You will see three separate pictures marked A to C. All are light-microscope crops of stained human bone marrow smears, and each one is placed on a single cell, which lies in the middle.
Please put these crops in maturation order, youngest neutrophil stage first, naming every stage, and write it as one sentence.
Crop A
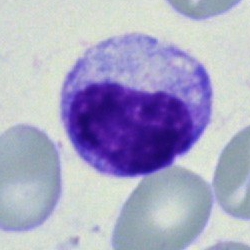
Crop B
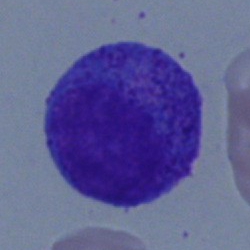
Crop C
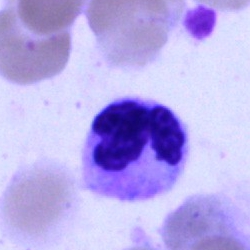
The order from least to most mature is crop B (a promyelocyte), crop A (a metamyelocyte) and crop C (a segmented neutrophil).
